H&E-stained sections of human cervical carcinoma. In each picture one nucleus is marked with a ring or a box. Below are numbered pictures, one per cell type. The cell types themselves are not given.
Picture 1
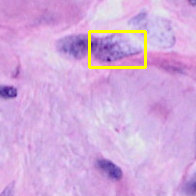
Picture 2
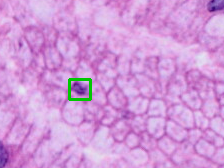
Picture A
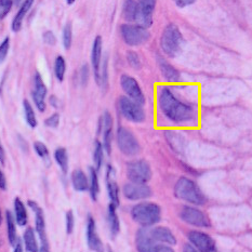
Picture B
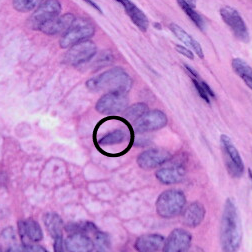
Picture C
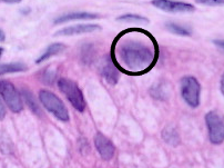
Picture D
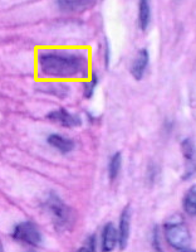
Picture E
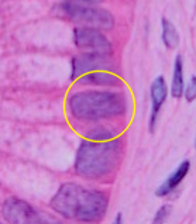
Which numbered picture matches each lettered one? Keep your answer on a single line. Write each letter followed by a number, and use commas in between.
A 2, B 2, C 2, D 2, E 2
